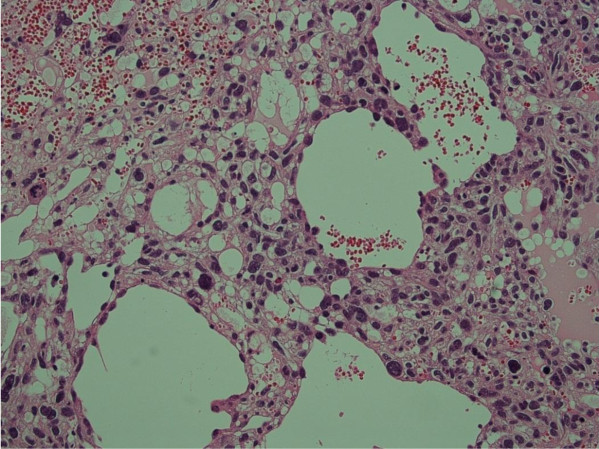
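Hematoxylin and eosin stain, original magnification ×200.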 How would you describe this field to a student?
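This is a tumor built of irregular, interconnecting vascular channels and larger cyst-like spaces, and the cells lining them are malignant. The spaces are of many sizes: some are large and empty and pale, while others hold scattered red blood cells. The lining cells have large, dark purple nuclei that vary greatly in size and shape, and a few of them are strikingly enlarged. Their cytoplasm is scant and pinkish. In places the cells pile up instead of forming a single flat layer, which is unlike a normal vessel lining.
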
